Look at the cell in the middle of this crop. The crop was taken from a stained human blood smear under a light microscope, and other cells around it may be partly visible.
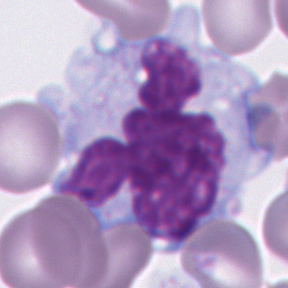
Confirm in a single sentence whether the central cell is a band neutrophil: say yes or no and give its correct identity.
No, calling it a band neutrophil is wrong; the middle cell is a monocyte.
